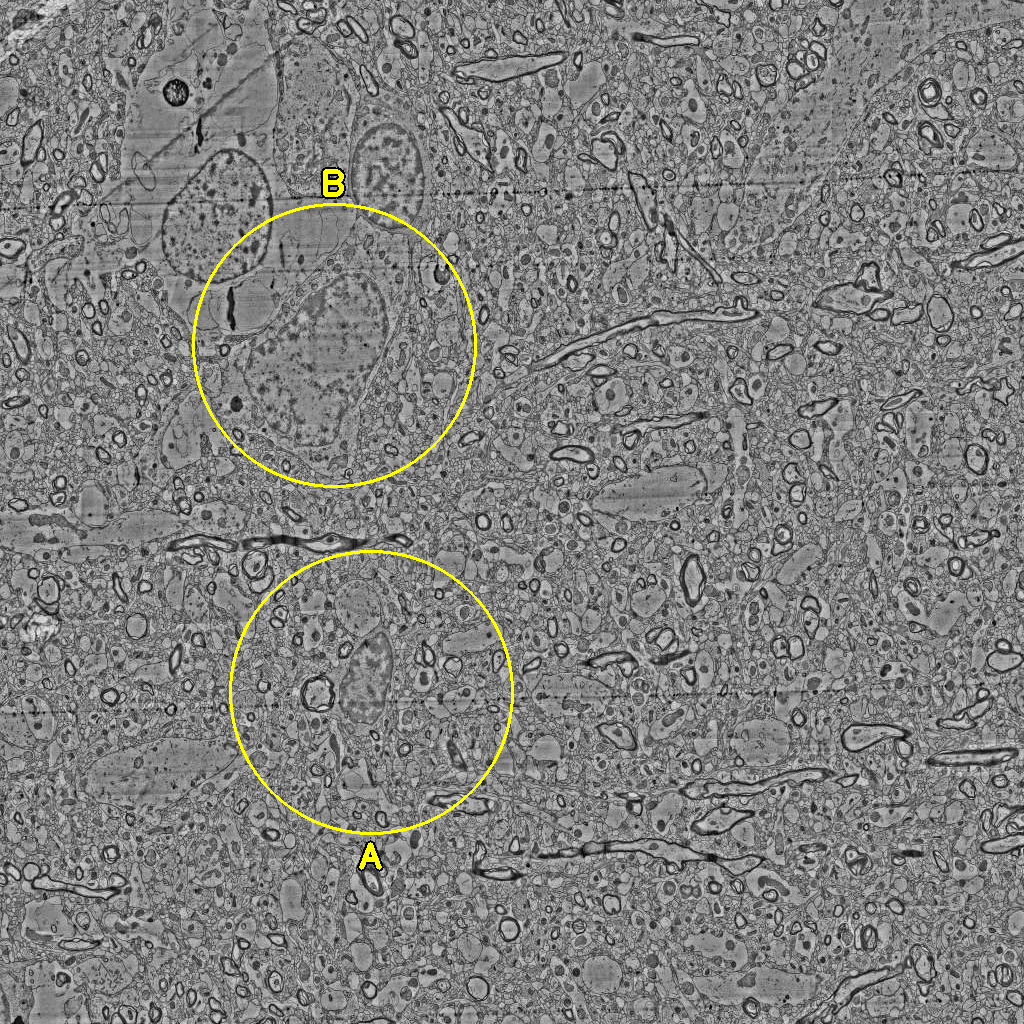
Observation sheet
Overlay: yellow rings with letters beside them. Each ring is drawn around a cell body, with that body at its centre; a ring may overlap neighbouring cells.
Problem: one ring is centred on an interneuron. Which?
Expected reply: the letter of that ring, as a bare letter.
B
